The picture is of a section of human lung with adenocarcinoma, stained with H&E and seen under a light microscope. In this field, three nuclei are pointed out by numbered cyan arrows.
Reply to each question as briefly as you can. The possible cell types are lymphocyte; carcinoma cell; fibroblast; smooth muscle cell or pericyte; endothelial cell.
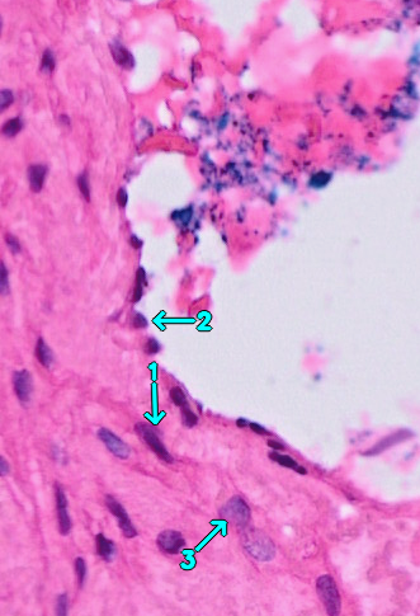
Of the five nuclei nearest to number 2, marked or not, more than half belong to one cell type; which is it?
endothelial cell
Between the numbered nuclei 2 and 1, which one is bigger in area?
1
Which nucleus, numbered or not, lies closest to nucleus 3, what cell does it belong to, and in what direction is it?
a smooth muscle cell or pericyte, below and to the right of nucleus 3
